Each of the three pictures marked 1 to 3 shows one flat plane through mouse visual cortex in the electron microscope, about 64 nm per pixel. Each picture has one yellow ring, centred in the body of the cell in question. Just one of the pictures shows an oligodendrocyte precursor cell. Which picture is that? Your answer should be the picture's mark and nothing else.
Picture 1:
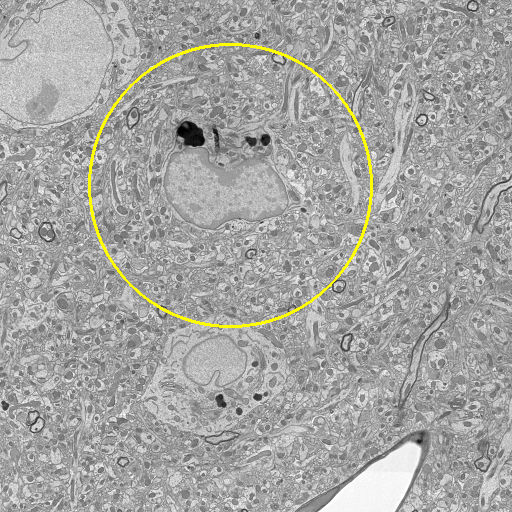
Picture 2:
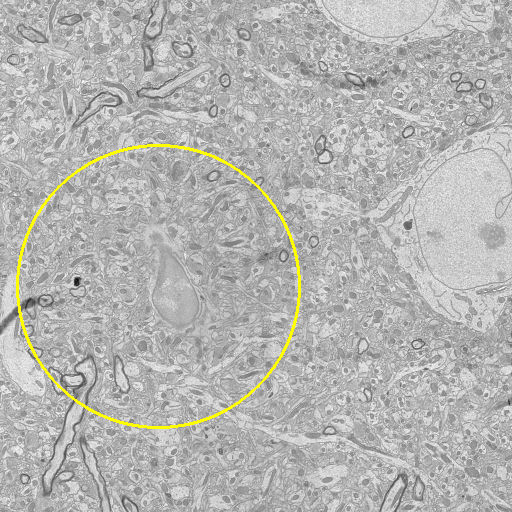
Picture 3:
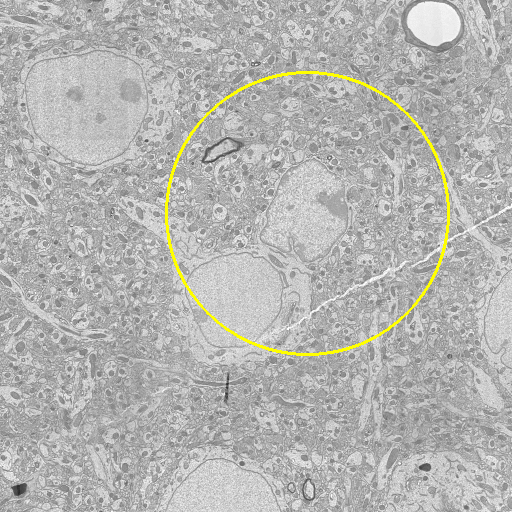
3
